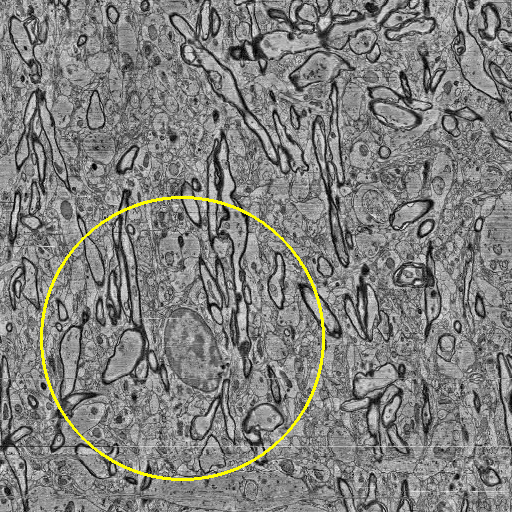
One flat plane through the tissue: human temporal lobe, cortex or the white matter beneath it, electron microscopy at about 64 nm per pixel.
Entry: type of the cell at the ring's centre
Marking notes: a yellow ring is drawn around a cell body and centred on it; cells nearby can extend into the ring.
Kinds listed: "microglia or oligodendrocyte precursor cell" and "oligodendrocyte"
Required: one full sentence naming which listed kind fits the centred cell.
My entry names a microglial cell or oligodendrocyte precursor cell as the cell whose body the yellow ring centres on.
